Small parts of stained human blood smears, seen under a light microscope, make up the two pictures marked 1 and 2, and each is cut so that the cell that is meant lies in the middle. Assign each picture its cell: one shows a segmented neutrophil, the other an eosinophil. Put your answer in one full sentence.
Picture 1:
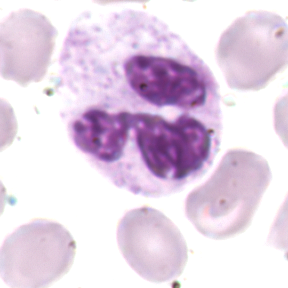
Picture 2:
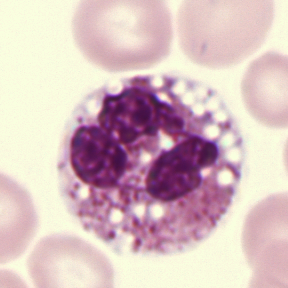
It is picture 1 that shows a segmented neutrophil, and picture 2 that shows an eosinophil.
